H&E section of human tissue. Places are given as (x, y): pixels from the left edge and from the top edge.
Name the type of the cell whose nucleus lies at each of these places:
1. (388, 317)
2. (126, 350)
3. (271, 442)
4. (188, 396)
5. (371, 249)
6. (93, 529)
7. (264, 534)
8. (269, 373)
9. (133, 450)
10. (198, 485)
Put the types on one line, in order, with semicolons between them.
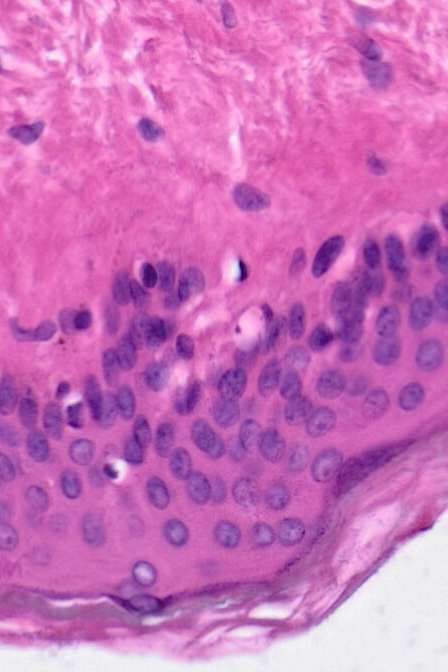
suprabasal keratinocyte; basal keratinocyte; suprabasal keratinocyte; basal keratinocyte; basal keratinocyte; suprabasal keratinocyte; suprabasal keratinocyte; basal keratinocyte; basal keratinocyte; suprabasal keratinocyte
